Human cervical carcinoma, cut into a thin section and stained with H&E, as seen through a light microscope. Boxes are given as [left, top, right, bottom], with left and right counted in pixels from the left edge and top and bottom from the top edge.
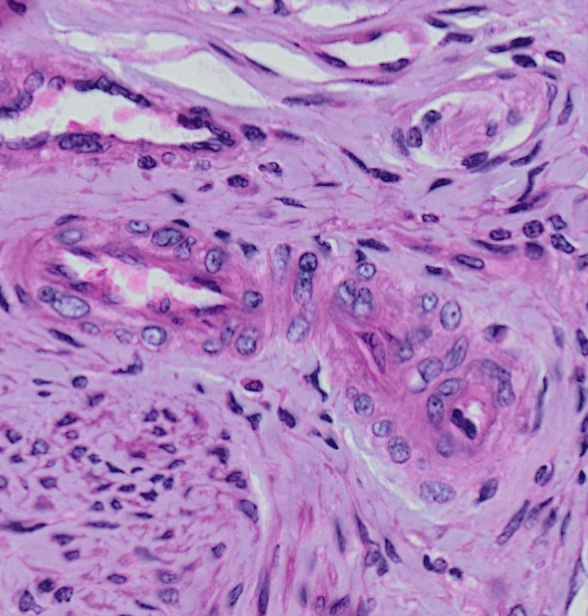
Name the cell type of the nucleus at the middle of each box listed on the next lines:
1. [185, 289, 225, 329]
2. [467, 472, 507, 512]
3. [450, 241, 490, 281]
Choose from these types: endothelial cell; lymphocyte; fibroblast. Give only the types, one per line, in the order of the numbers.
endothelial cell
lymphocyte
endothelial cell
